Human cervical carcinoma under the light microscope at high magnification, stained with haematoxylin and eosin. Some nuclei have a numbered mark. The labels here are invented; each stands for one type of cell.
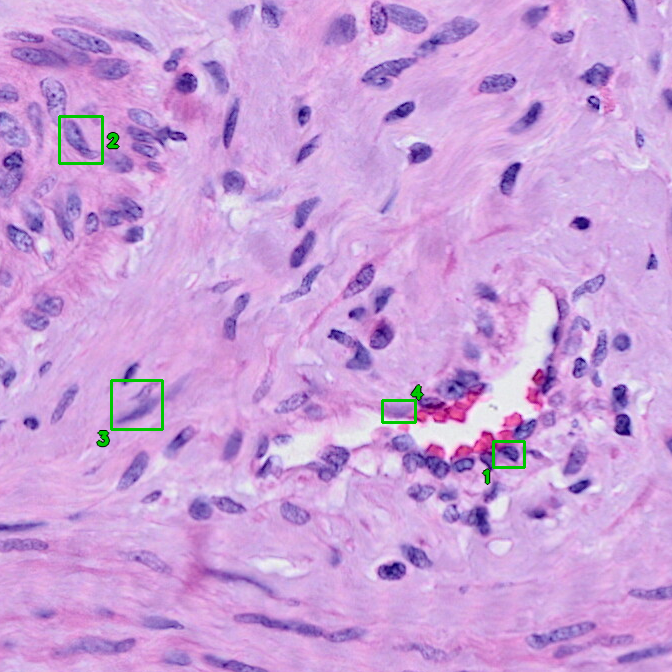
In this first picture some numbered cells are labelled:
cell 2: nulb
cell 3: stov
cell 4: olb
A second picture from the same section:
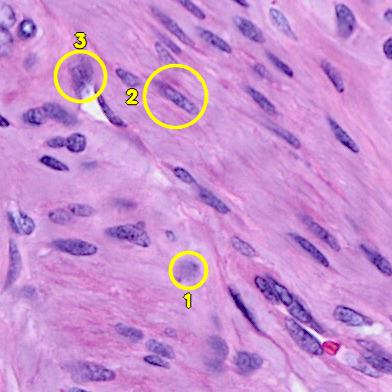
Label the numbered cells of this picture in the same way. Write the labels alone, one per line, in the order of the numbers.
stov
nulb
olb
